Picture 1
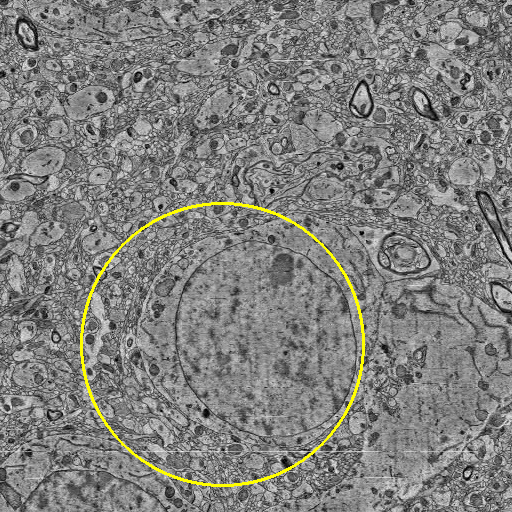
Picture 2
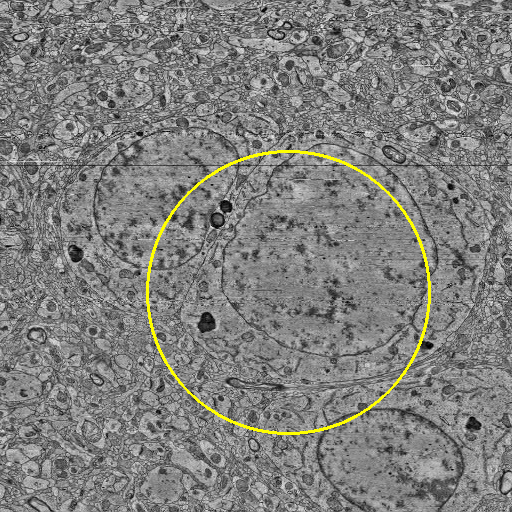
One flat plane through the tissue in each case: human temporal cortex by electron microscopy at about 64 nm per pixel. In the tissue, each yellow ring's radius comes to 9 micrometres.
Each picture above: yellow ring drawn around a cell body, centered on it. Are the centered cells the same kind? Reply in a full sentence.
Yes, the two cells are the same kind.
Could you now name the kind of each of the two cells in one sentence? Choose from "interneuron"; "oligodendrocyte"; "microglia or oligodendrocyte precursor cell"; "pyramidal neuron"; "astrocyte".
The cell in the first picture is a pyramidal neuron, and so is the one in the second.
